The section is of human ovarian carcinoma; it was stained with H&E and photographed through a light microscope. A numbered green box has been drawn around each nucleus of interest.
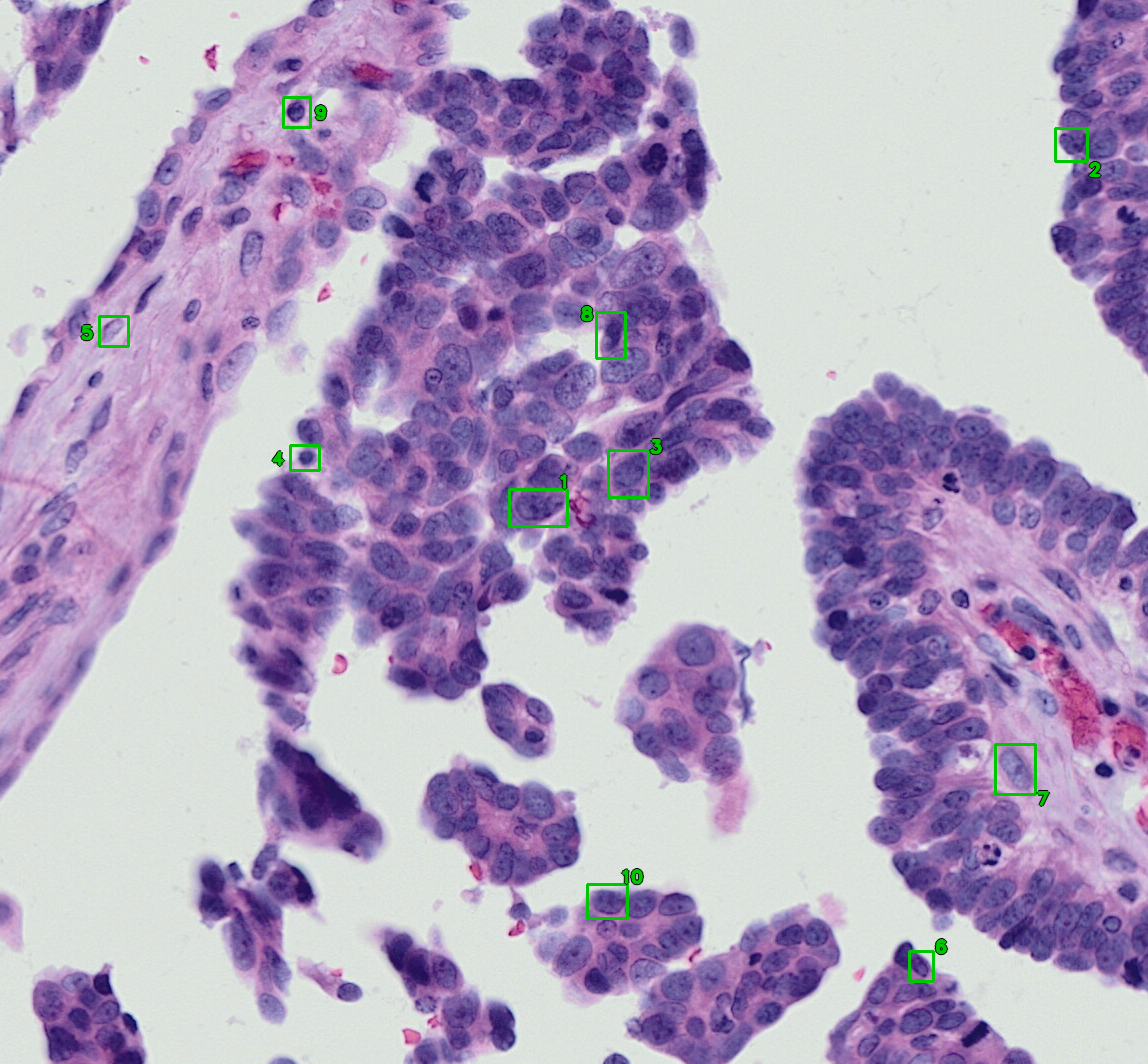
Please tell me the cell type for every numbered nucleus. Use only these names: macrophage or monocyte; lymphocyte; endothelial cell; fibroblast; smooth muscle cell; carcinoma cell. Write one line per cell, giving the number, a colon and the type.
1: carcinoma cell
2: carcinoma cell
3: carcinoma cell
4: lymphocyte
5: fibroblast
6: carcinoma cell
7: fibroblast
8: carcinoma cell
9: lymphocyte
10: carcinoma cell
